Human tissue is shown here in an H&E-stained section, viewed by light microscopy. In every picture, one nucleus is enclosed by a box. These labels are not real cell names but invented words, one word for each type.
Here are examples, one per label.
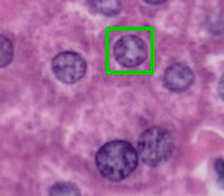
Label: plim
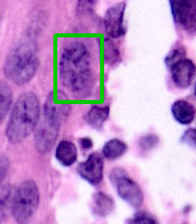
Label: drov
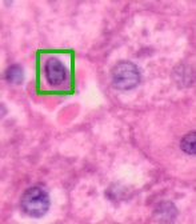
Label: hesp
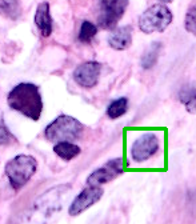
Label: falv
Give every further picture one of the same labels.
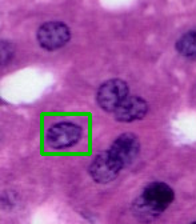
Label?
plim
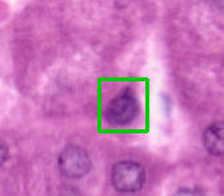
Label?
hesp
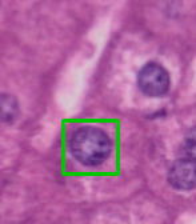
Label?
plim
